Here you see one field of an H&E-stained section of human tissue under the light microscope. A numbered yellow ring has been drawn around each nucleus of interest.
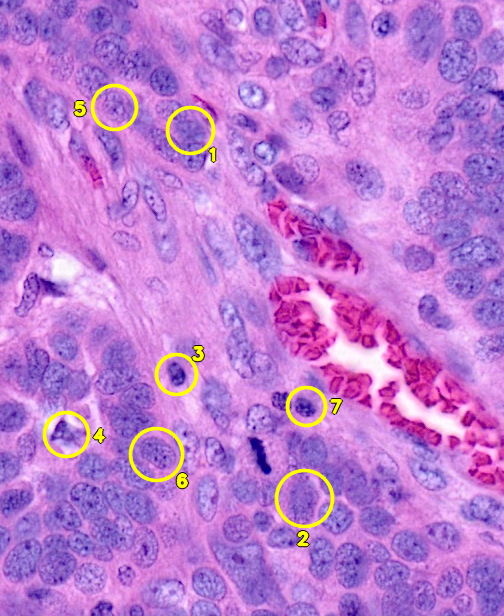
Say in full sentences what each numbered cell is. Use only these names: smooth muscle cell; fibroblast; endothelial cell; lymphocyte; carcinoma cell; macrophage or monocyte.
Cells 1, 2, 5 and 6 are carcinoma cells. Cells 3 and 7 are lymphocytes. Cell 4 is a macrophage or monocyte.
